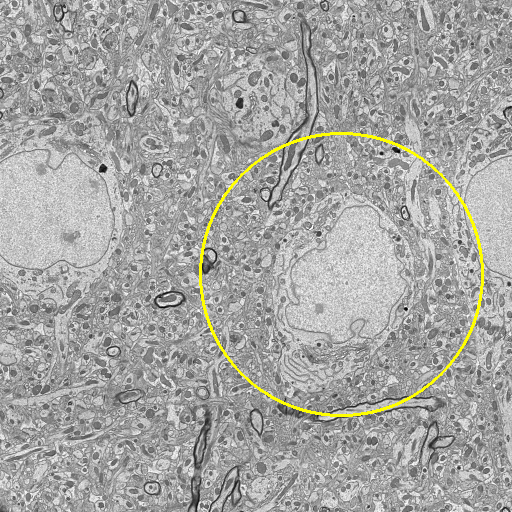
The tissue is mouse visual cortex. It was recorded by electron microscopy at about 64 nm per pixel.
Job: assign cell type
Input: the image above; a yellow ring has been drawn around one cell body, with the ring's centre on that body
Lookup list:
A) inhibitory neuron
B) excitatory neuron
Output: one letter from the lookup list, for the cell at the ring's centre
A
